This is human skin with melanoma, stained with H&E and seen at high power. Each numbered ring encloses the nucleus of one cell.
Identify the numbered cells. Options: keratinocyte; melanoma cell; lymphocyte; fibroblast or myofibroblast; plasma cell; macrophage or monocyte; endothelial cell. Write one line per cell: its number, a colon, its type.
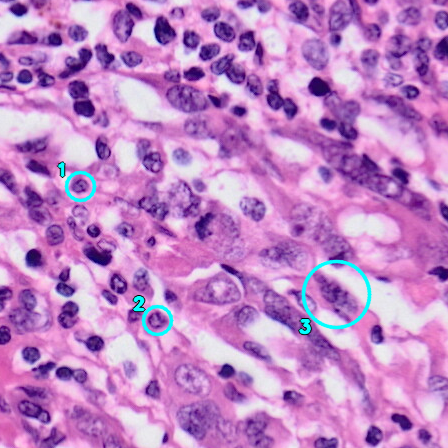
1: lymphocyte
2: plasma cell
3: melanoma cell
